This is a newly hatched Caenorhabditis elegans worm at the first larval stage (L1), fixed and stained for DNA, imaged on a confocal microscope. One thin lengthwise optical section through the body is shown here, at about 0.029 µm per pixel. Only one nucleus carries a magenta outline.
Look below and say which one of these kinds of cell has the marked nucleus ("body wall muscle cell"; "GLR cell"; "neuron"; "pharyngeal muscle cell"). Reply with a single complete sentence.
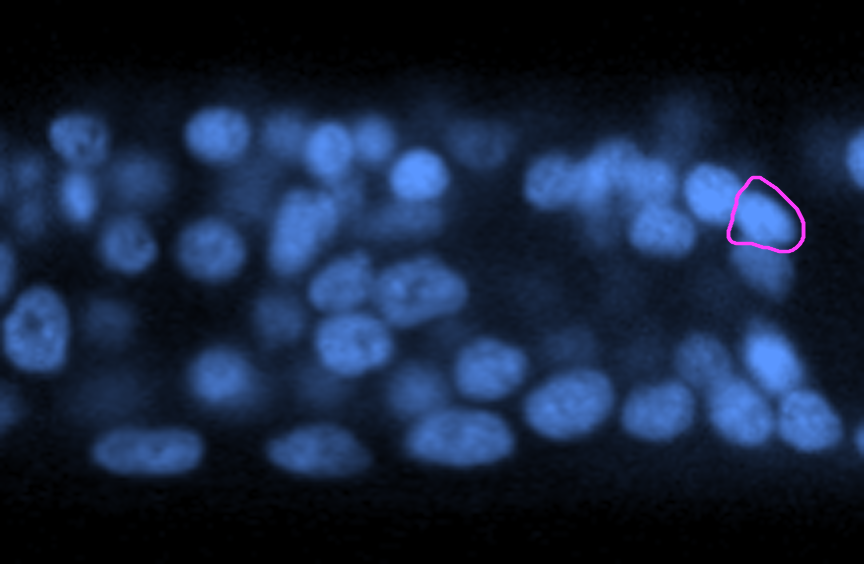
This nucleus is from a GLR cell.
